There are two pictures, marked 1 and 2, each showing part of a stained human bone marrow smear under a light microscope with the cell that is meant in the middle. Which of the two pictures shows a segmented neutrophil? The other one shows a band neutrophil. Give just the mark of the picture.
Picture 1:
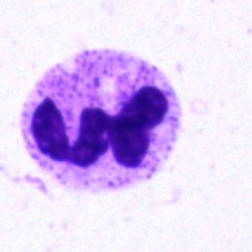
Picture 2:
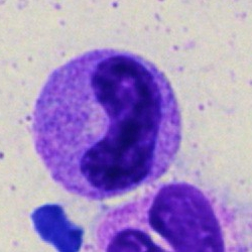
1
